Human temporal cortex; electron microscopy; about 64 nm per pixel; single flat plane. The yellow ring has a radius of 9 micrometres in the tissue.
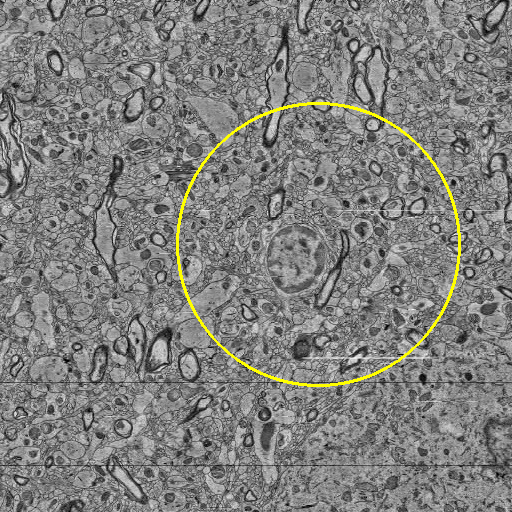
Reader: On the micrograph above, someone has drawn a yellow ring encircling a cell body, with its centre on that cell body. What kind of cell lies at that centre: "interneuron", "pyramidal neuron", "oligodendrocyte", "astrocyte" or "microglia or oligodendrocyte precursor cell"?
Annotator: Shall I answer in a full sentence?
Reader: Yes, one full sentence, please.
Here a microglial cell or oligodendrocyte precursor cell sits at the centre of the yellow ring drawn on the micrograph.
